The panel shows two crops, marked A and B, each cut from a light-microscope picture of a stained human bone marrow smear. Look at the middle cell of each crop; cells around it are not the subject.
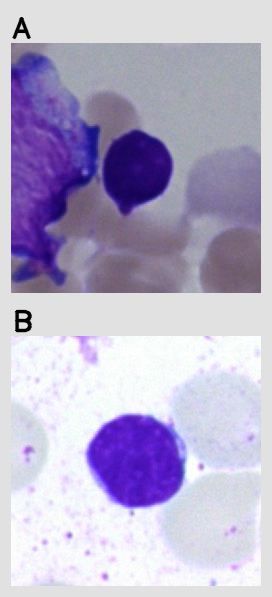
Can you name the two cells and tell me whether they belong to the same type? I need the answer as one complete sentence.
Yes, both crops are centred on cells that are lymphocytes.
